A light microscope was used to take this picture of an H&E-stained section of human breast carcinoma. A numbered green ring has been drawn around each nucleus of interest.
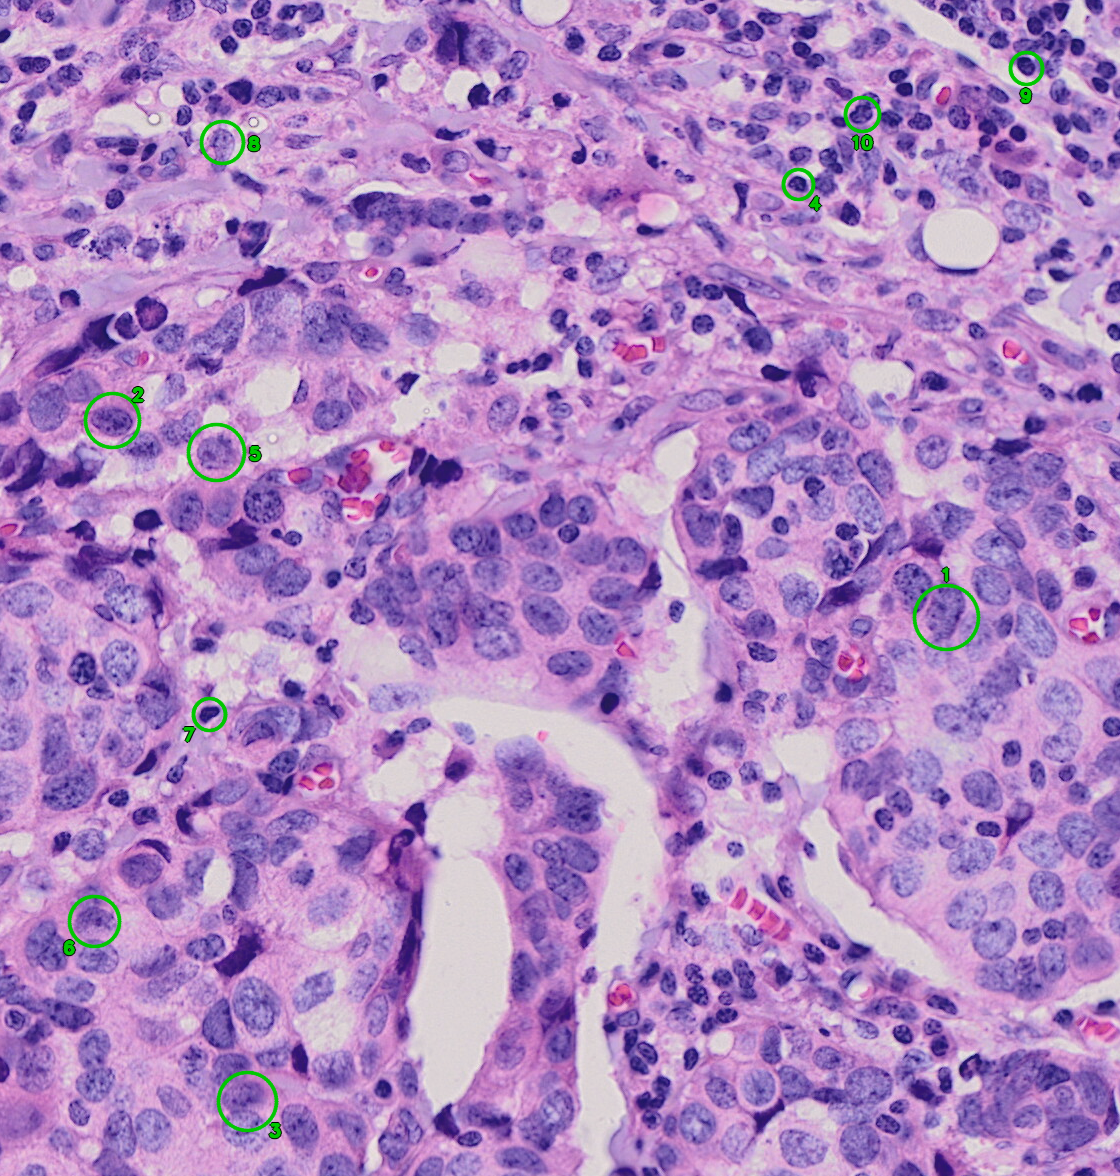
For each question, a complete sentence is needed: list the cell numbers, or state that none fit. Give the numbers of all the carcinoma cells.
When it comes to cells 1, 2, 3, 5 and 6, they are carcinoma cells.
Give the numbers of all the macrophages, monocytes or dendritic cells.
Being a macrophage, monocyte or dendritic cell is true of cell 8 and of no other numbered cell.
